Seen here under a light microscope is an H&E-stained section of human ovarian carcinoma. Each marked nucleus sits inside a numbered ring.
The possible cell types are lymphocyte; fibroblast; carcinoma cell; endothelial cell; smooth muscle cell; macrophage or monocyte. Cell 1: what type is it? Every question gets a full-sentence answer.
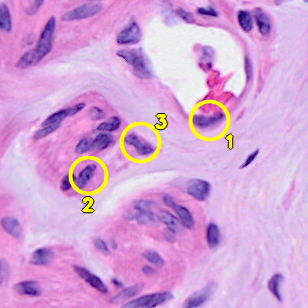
The cell indicated by marker 1 is an endothelial cell in this section.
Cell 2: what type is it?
Identified by the number 2, the cell is a smooth muscle cell.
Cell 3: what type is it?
The one numbered 3 among the marked cells is a smooth muscle cell.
